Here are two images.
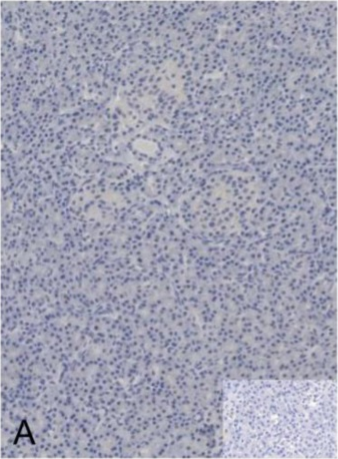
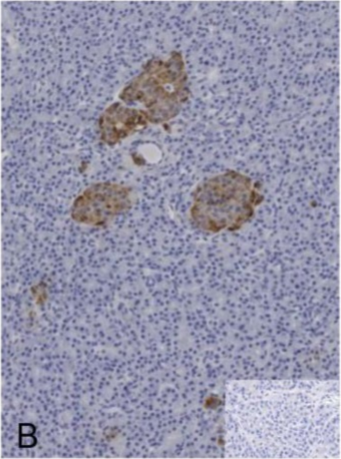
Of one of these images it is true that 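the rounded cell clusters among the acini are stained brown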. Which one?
The second image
